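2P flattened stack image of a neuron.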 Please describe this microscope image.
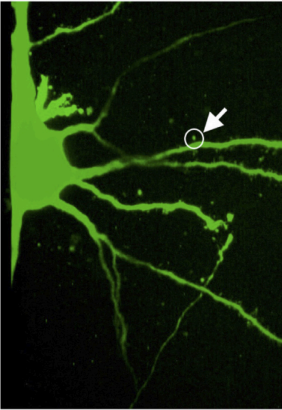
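A large bright green cell body lies at the left edge, with a thick trunk running up and several thinner processes extending to the right. These processes branch and taper over long distances, and short fine protrusions stud some of them near the cell body.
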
